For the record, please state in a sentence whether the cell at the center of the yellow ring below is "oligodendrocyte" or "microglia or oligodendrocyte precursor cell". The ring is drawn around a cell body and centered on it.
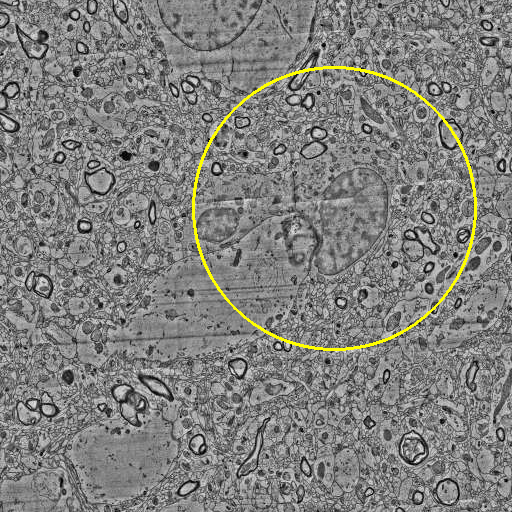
The cell at the ring's center is an oligodendrocyte.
